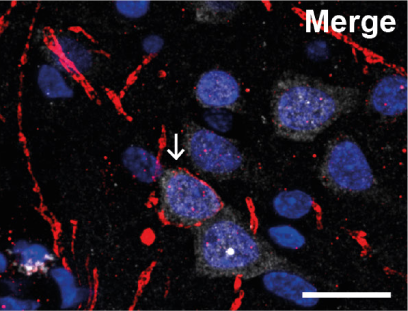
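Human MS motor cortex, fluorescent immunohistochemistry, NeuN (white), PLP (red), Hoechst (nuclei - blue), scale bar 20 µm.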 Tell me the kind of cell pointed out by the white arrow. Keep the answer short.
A: Myelinated neuronal cell bodies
